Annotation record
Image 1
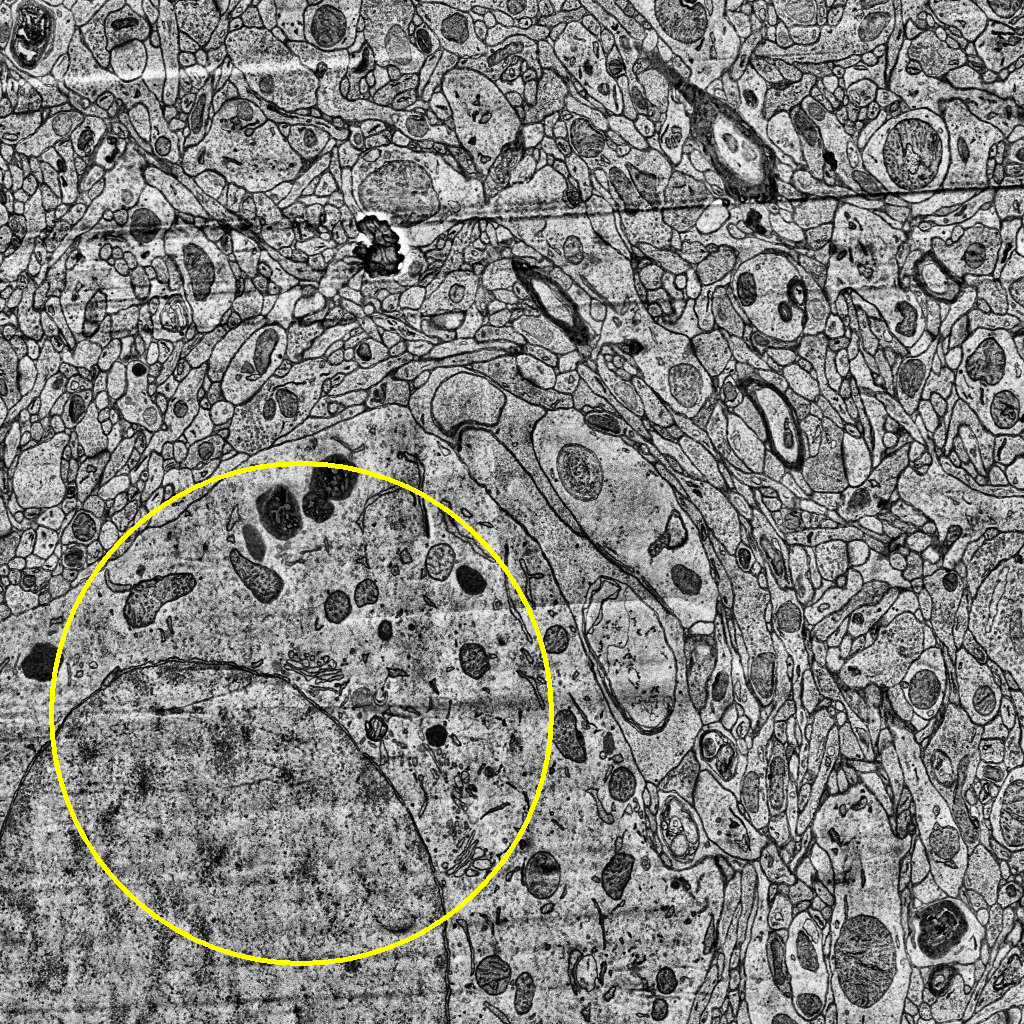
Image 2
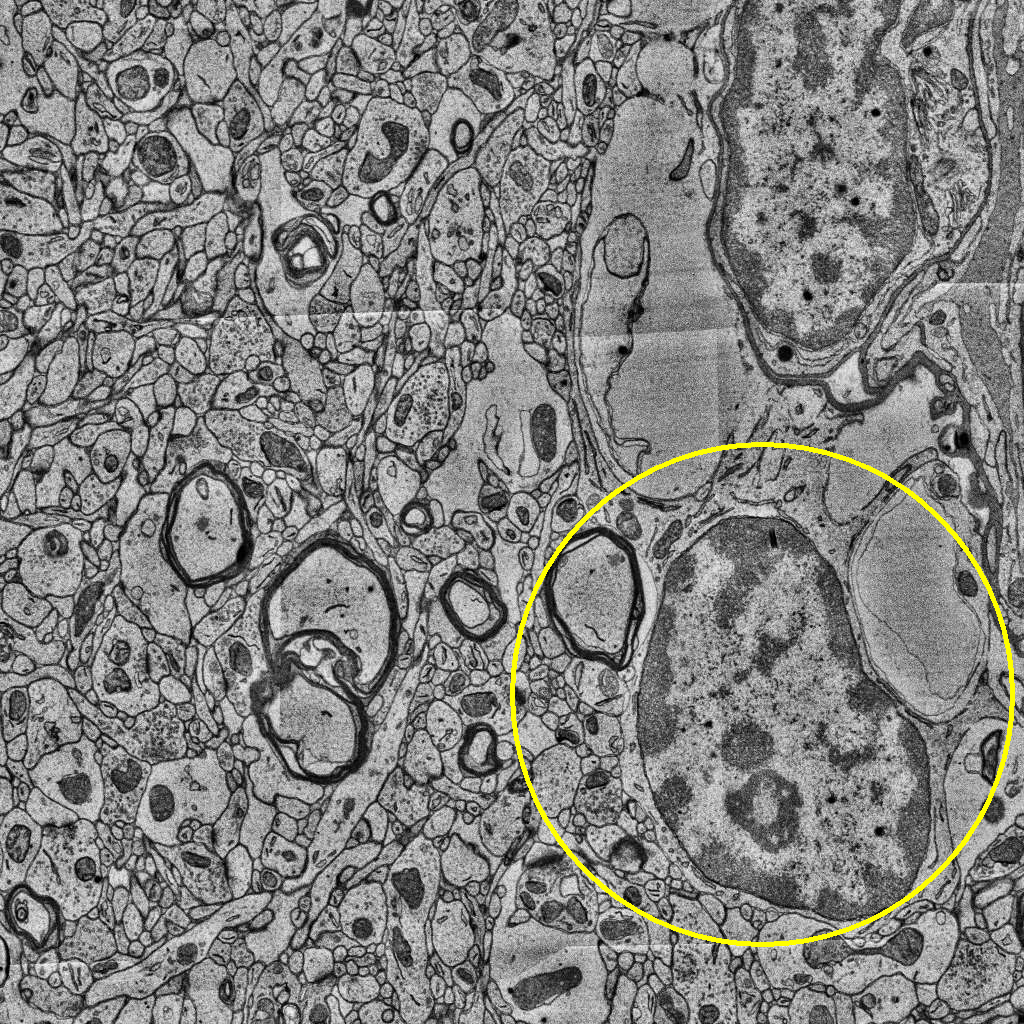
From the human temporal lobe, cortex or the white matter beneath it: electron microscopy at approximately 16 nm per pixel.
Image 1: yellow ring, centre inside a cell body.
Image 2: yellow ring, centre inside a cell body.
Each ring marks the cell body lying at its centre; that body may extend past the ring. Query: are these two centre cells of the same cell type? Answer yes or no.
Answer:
no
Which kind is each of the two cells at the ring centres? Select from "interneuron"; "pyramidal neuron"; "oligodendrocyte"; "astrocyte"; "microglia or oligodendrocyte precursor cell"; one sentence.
The cell marked in the first picture is a pyramidal neuron, and the one marked in the second is a microglial cell or oligodendrocyte precursor cell.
